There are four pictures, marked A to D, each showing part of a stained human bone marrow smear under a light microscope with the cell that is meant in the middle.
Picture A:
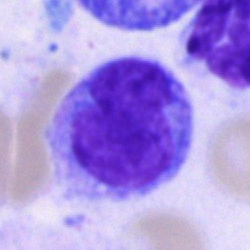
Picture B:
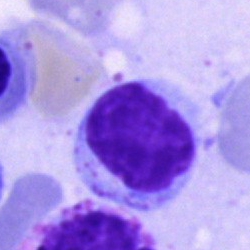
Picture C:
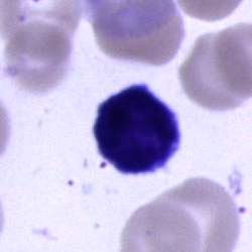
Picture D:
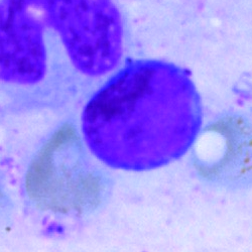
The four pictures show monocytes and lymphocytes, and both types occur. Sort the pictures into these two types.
A: monocyte
B: lymphocyte
C: lymphocyte
D: lymphocyte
